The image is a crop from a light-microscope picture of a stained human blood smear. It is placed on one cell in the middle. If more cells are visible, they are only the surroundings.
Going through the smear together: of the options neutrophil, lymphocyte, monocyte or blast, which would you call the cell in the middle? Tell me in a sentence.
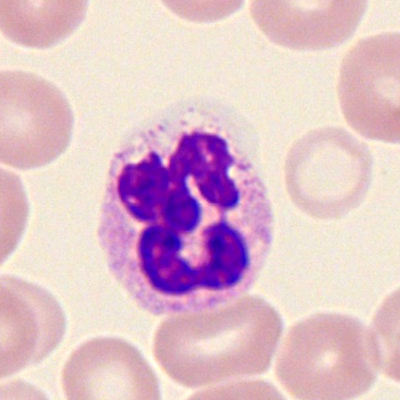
Regarding the central cell, it is a neutrophil.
